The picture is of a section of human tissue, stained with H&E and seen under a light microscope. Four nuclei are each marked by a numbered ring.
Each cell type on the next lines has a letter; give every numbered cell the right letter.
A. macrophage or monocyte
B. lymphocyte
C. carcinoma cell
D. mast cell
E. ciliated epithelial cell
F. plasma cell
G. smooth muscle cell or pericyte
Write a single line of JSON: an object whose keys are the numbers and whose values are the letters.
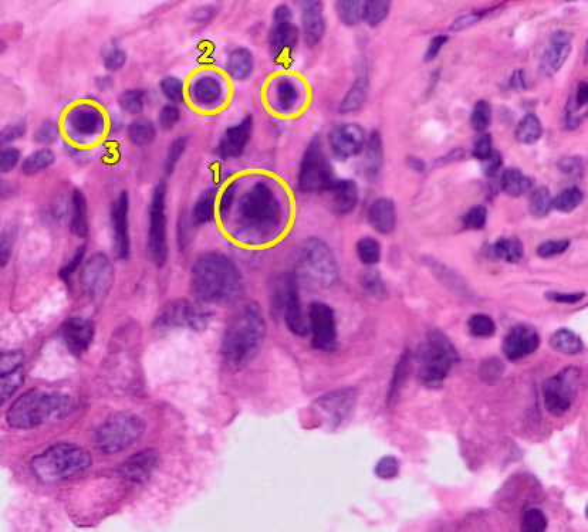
{"1": "C", "2": "B", "3": "F", "4": "B"}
